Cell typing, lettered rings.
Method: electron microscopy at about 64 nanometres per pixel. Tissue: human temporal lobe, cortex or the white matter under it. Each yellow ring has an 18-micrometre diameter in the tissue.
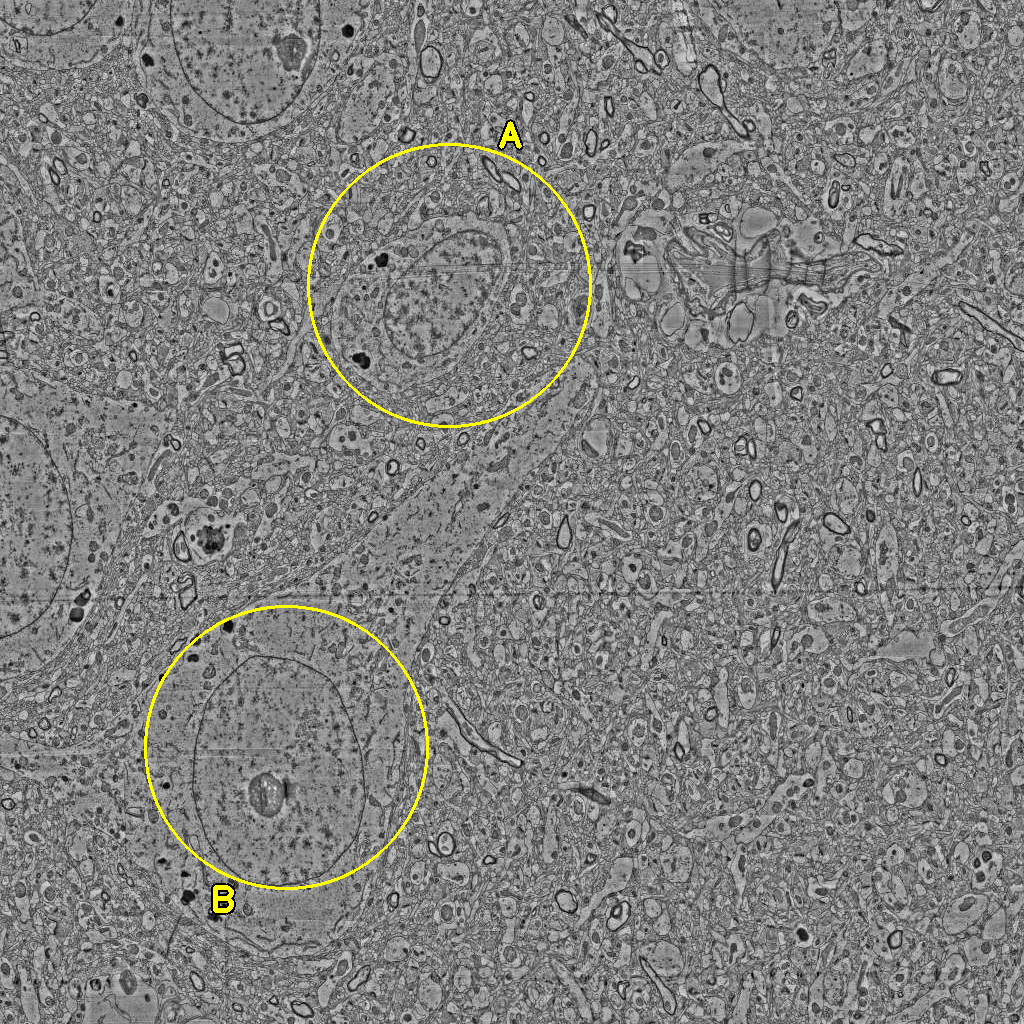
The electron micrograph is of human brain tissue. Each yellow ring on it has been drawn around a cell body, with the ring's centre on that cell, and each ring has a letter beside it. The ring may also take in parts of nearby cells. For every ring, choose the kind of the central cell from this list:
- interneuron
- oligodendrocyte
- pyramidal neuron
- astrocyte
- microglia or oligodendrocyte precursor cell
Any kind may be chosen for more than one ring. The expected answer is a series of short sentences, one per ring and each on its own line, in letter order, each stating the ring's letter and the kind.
For ring A, the centred cell is an interneuron.
For ring B, the centred cell is a pyramidal neuron.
